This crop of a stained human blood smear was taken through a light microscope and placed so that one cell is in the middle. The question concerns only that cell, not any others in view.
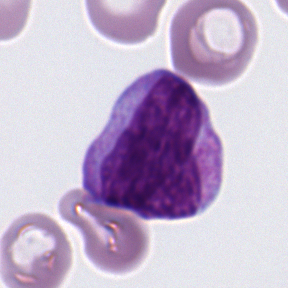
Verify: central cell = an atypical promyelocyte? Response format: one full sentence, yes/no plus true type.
Yes, the cell at the centre is designated an atypical promyelocyte.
